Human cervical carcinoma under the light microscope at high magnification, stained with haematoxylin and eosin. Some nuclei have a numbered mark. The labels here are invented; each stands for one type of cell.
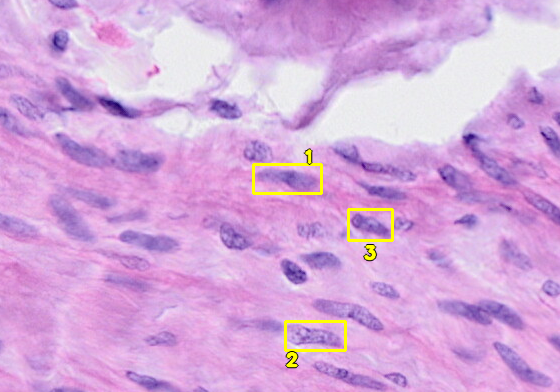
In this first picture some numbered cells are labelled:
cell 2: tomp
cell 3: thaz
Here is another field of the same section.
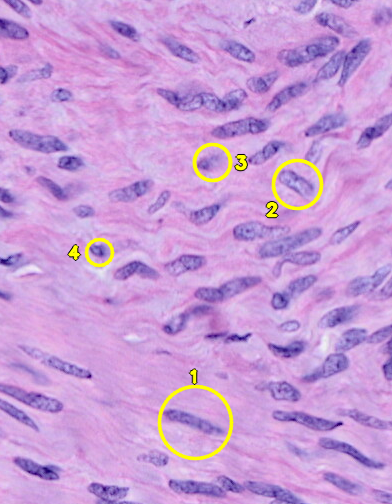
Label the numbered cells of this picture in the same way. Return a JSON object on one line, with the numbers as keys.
{"1": "tomp", "2": "thaz", "3": "thaz", "4": "thaz"}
